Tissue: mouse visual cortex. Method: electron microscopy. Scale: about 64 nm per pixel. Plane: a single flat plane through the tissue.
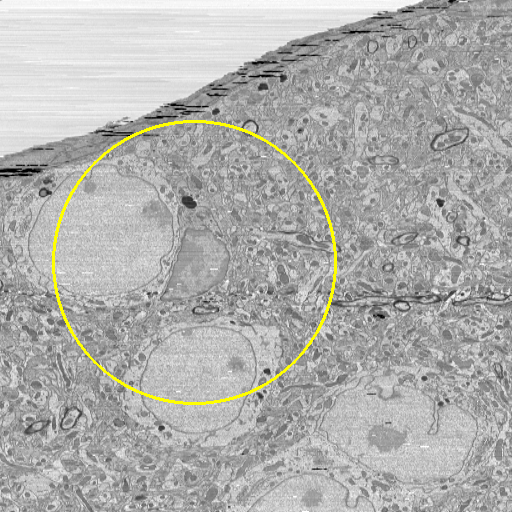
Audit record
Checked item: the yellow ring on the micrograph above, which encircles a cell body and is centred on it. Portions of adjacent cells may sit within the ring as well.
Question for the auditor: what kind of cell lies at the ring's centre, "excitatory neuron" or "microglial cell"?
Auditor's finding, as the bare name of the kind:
microglial cell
